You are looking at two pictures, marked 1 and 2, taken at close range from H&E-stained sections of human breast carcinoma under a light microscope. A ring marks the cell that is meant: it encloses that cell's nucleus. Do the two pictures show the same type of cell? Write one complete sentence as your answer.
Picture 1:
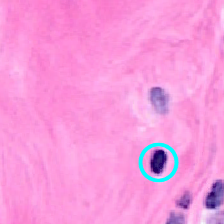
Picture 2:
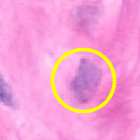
No, the types are not the same, since picture 1 shows a lymphocyte and picture 2 a fibroblast.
